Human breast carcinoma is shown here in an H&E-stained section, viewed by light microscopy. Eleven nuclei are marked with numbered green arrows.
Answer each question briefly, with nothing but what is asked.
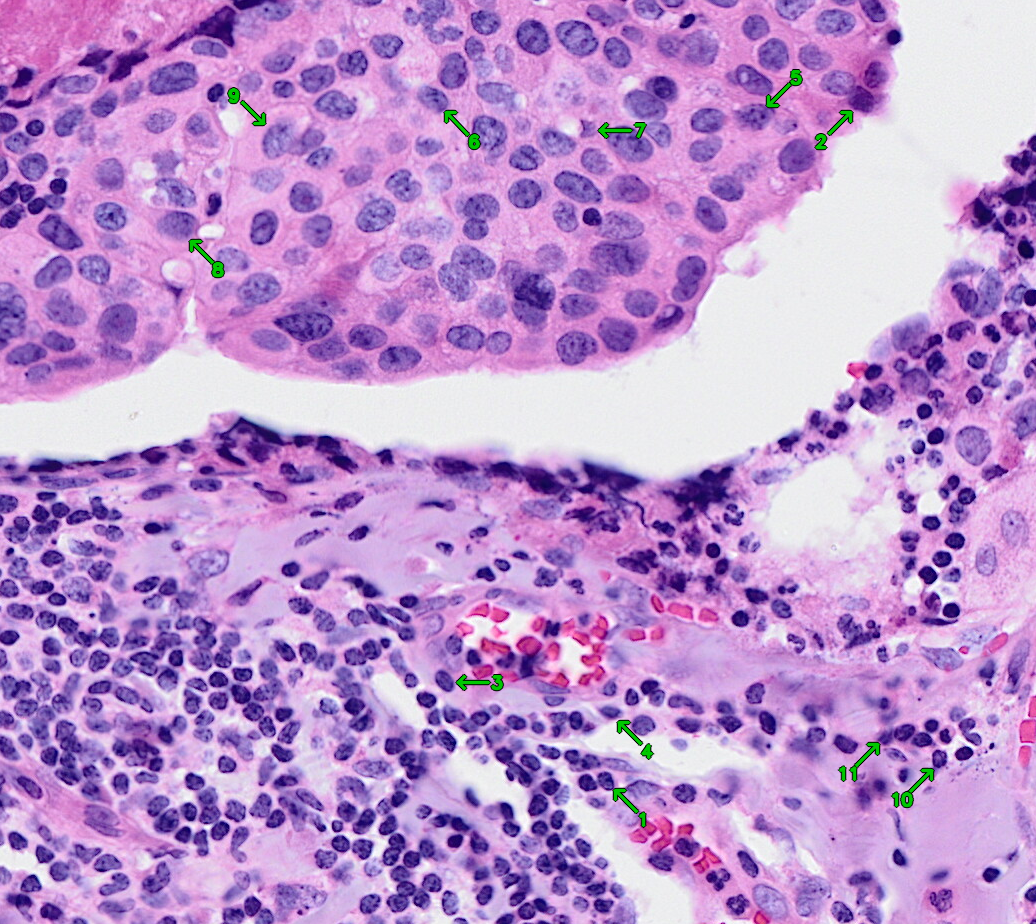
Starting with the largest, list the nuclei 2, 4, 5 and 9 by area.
9, 5, 2, 4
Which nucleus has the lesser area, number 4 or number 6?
4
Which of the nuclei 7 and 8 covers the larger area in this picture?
8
